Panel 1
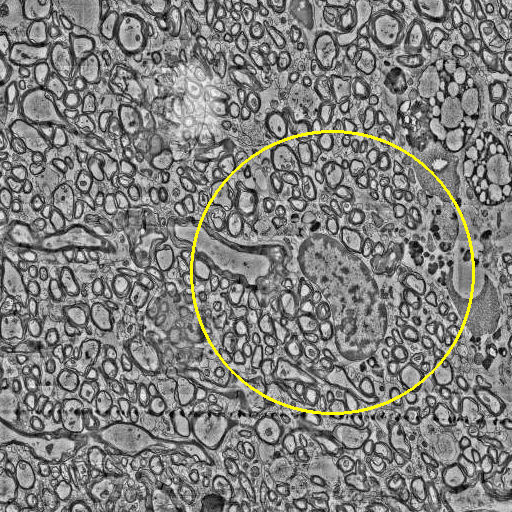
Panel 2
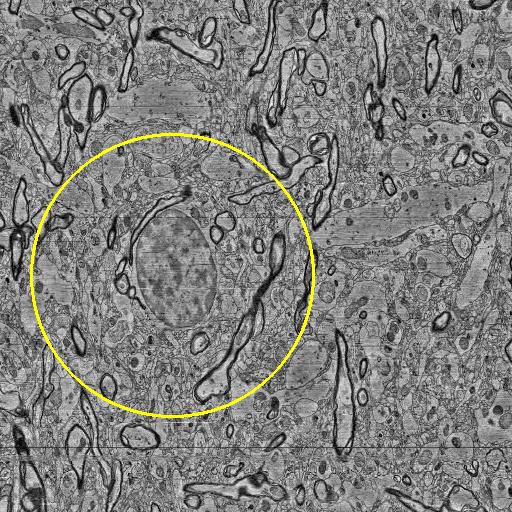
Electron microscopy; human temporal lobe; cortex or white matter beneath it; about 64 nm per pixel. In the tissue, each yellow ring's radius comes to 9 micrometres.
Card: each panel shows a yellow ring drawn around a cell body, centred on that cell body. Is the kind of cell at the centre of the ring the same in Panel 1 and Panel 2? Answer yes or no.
no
